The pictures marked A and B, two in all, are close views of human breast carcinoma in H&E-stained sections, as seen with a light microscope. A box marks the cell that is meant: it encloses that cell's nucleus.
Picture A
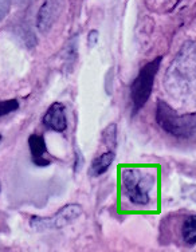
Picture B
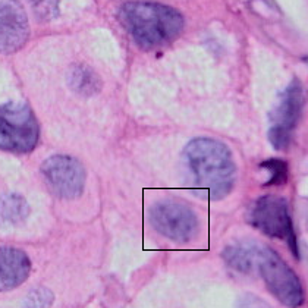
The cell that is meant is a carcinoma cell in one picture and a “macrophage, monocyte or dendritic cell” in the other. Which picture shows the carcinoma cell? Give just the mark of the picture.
B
